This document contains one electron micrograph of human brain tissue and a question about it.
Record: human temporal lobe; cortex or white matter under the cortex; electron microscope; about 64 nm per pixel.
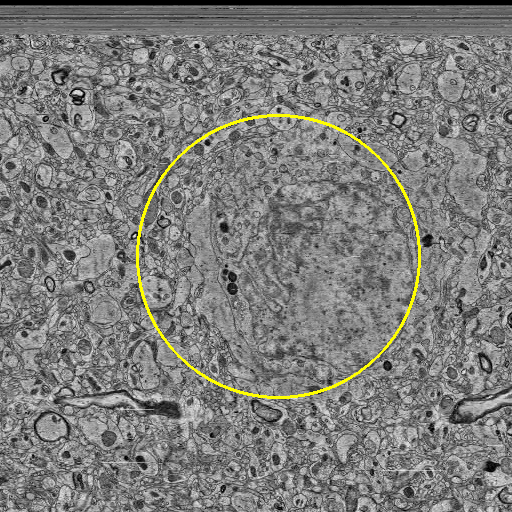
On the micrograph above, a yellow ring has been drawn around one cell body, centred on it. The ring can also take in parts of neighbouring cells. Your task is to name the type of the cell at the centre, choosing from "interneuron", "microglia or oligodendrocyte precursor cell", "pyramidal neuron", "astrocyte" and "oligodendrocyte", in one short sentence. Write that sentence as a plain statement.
Here the ring is centred on an interneuron.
